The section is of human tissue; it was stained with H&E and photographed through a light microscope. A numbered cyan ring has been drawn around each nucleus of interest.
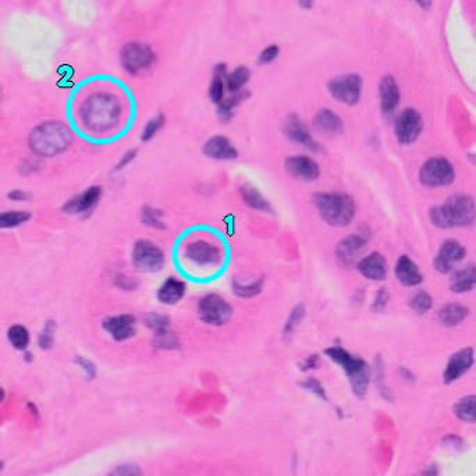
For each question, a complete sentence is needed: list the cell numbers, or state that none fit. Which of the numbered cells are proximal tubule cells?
Exactly one numbered cell is a proximal tubule cell, and that cell is number 2.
